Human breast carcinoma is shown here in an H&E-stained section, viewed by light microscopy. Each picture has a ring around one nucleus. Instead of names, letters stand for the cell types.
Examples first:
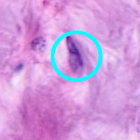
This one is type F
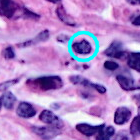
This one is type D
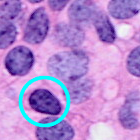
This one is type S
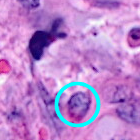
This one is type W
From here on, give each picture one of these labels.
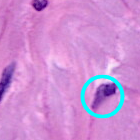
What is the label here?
type F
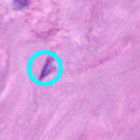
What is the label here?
type F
